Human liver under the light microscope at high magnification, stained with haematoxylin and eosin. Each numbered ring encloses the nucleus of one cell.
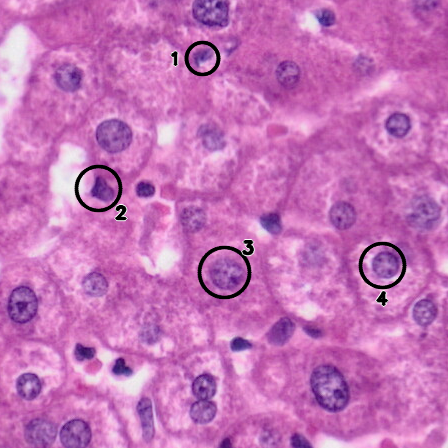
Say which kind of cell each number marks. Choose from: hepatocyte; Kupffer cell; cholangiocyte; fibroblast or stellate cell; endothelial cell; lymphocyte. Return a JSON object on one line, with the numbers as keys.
{"1": "endothelial cell", "2": "endothelial cell", "3": "hepatocyte", "4": "hepatocyte"}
